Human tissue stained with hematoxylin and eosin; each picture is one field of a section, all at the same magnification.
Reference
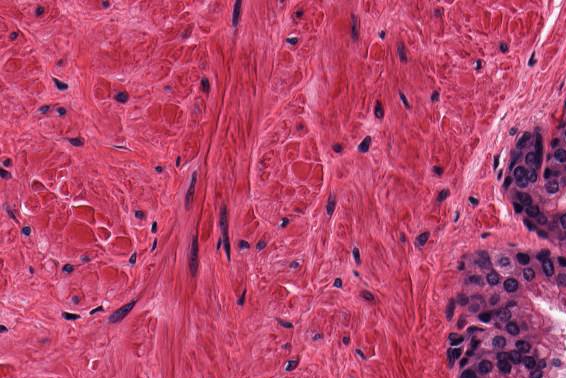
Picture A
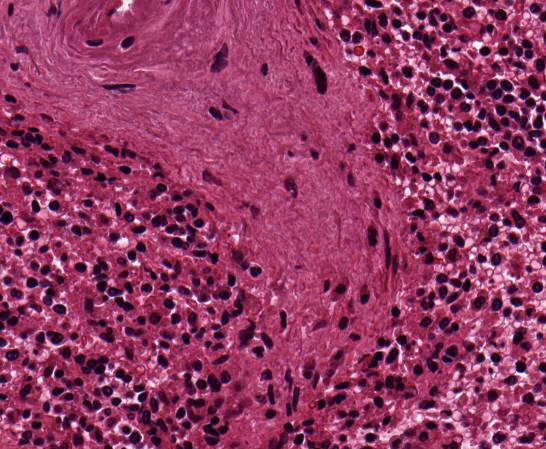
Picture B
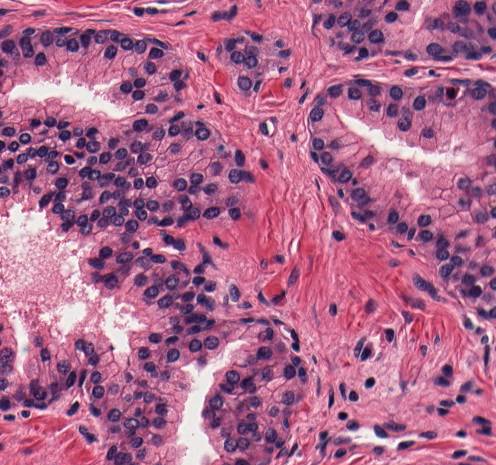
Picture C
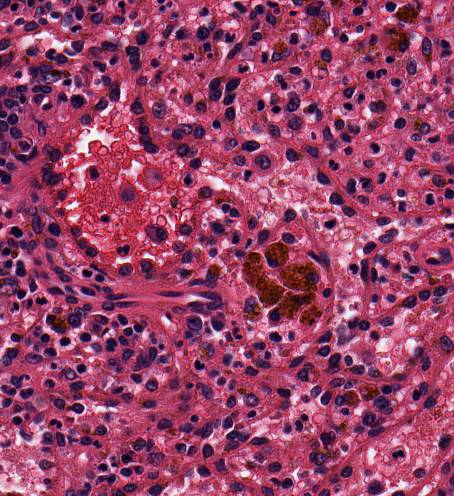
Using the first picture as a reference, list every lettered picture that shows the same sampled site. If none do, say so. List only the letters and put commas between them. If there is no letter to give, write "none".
B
